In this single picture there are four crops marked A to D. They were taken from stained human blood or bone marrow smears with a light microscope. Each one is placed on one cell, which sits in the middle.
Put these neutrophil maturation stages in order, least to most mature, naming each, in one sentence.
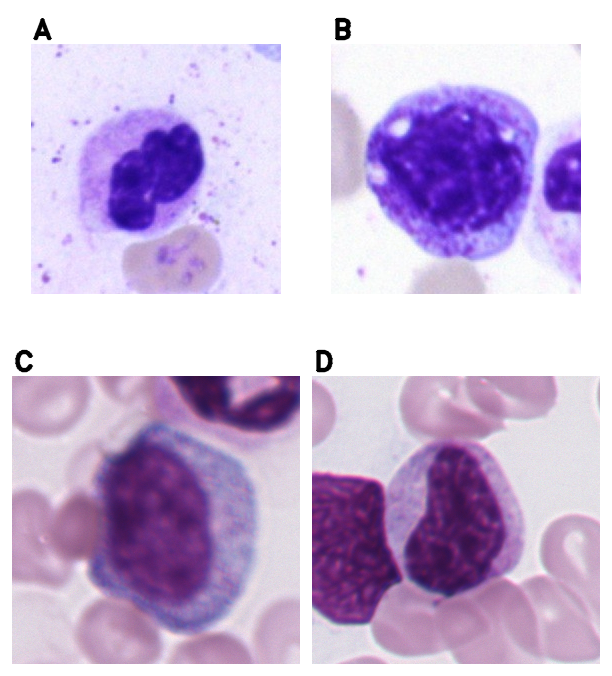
Starting with the least mature and ending with the most mature, the order is crop C (a promyelocyte), crop B (a myelocyte), crop D (a metamyelocyte) and crop A (a segmented neutrophil).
